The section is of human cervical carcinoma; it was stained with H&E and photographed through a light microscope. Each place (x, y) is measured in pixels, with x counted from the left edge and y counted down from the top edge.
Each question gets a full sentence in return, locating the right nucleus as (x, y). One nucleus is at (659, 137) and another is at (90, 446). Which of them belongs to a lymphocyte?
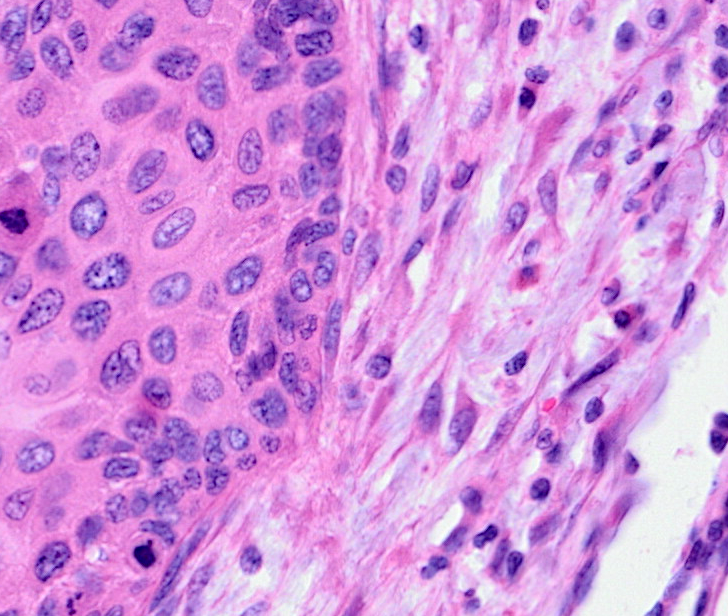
Assigned to a lymphocyte is the nucleus located at (659, 137).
